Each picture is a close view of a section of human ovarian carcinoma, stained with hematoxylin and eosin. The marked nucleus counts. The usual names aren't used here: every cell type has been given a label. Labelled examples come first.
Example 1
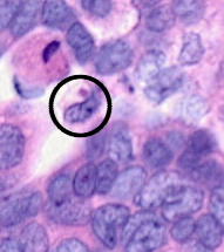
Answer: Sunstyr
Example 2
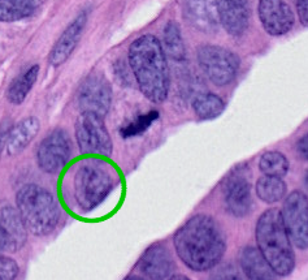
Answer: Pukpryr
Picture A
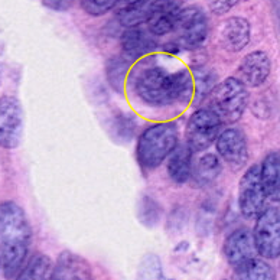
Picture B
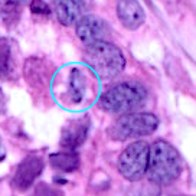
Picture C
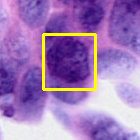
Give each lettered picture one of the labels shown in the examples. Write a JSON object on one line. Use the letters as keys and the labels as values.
{"A": "Pukpryr", "B": "Sunstyr", "C": "Pukpryr"}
